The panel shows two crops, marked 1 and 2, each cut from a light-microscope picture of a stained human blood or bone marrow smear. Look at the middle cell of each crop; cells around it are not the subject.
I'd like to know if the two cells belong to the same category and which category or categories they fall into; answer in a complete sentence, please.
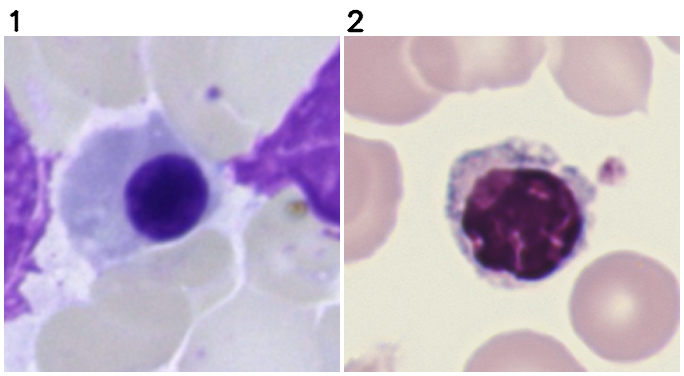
Yes, they do, both crops show normoblasts.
